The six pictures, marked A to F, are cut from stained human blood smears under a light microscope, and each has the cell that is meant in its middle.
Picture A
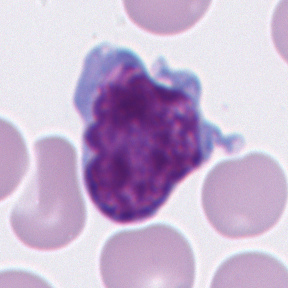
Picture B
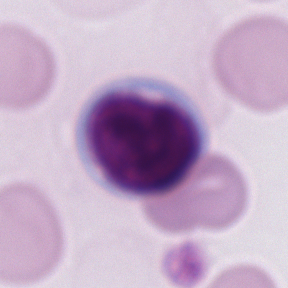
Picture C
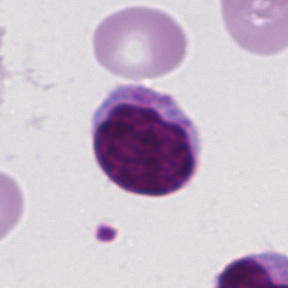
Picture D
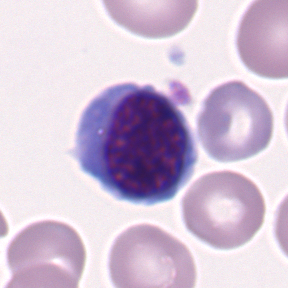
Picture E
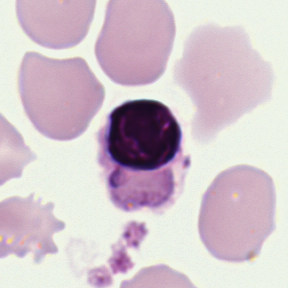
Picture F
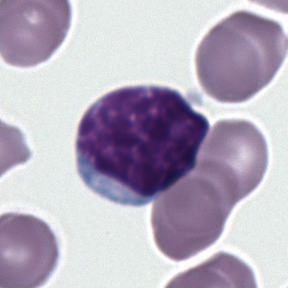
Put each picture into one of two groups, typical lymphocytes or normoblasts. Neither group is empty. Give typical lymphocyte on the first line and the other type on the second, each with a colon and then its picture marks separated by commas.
typical lymphocyte: A, B, C, F
normoblast: D, E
